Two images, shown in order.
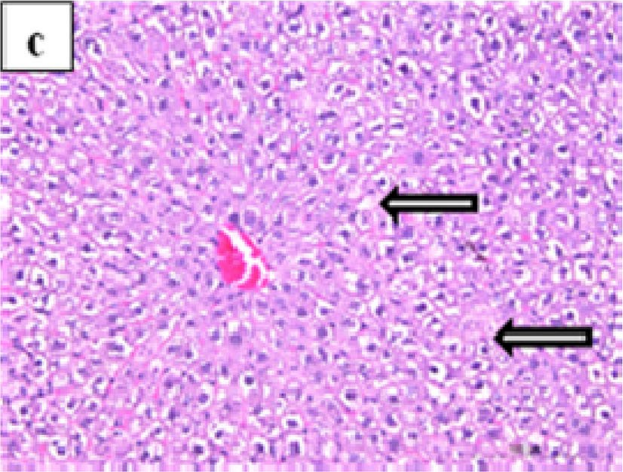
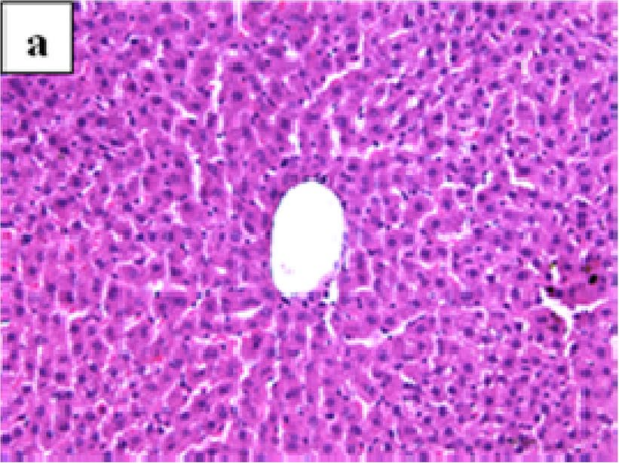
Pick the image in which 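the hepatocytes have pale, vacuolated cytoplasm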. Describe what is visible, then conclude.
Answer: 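First image: hepatocytes look pale with cleared cytoplasm around the nuclei. Second image: hepatocytes have evenly pink cytoplasm in regular cords around an empty central vein.
Conclusion: the first image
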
